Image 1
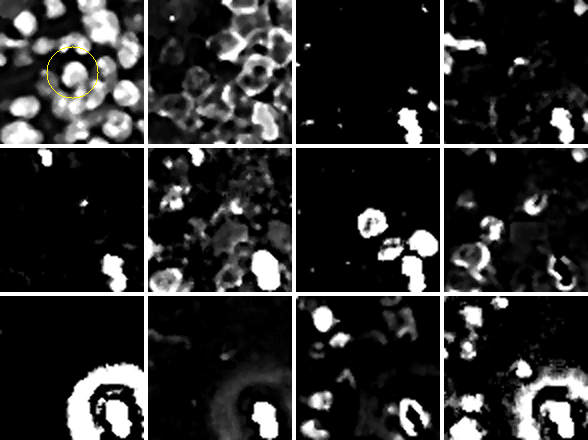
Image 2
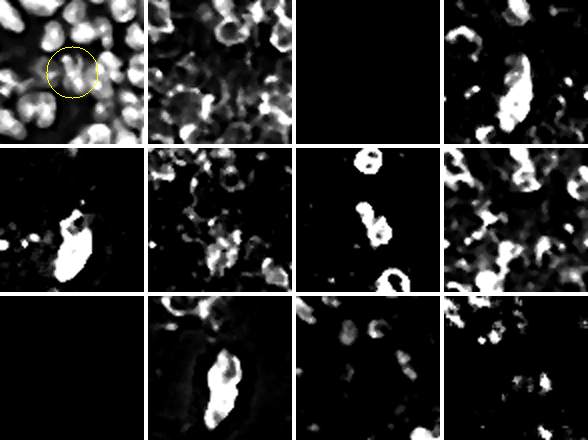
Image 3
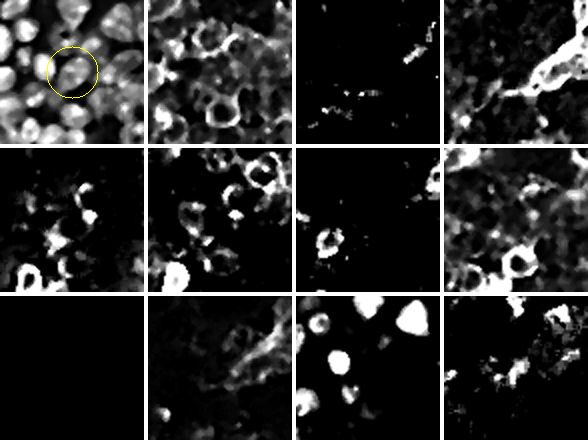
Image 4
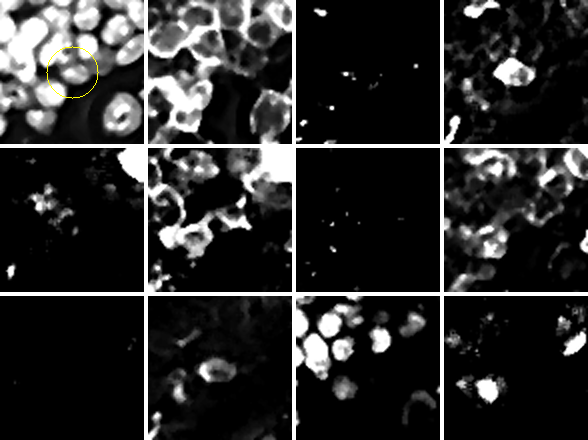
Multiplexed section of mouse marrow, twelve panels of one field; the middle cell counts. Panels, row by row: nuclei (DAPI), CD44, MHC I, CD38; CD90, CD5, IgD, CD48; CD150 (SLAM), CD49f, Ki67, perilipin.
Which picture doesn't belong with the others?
Picture 1.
